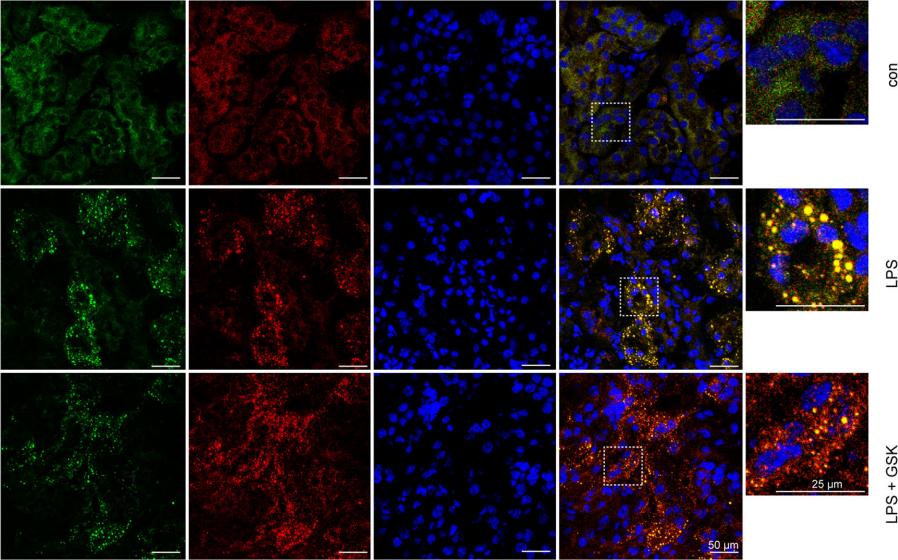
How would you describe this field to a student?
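Renal tubular cells of kidney sections are shown as separate green, red and blue channels with merged images and enlargements. Blue nuclei sit within cytoplasm that carries green and red fluorescence. In the top row the fluorescence is fine and diffuse, outlining the cells, whereas in the lower rows it gathers into coarse cytoplasmic puncta. In the merged images many of these puncta are yellow where green and red overlap, and in the bottom row a greater share of them are red only.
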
